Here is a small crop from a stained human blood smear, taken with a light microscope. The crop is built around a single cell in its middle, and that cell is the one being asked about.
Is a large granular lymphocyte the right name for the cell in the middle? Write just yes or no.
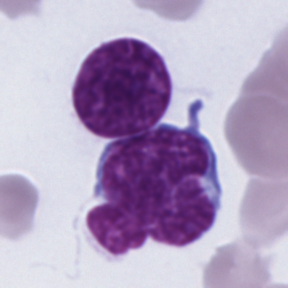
no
